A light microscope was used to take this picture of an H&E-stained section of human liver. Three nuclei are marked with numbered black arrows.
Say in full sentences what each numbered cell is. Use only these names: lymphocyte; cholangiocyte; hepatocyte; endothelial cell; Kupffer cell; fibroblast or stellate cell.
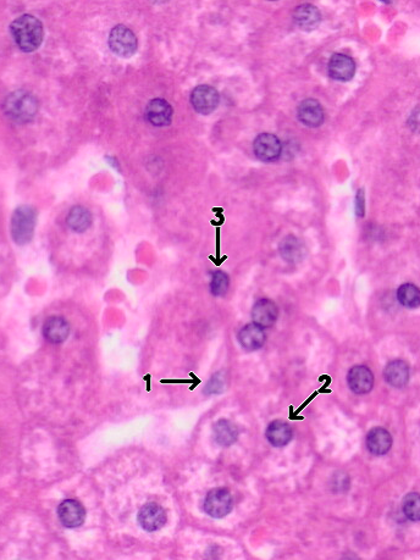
Cell 1 is a Kupffer cell. Cell 2 is a hepatocyte. Cell 3 is a fibroblast or stellate cell.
